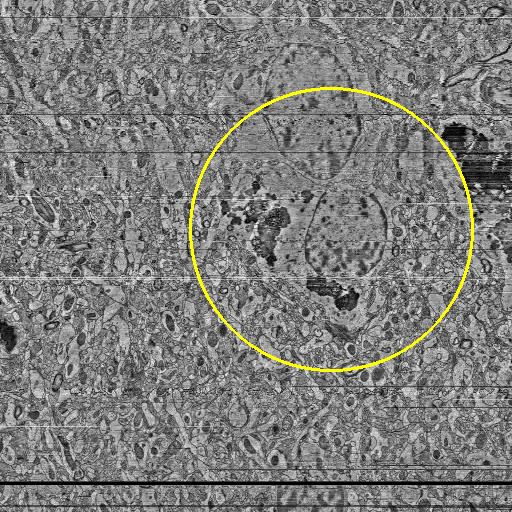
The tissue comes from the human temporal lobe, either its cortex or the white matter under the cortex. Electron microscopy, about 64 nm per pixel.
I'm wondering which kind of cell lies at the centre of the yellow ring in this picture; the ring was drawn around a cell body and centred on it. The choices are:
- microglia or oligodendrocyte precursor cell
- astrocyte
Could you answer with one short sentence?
At the centre of the ring lies an astrocyte.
